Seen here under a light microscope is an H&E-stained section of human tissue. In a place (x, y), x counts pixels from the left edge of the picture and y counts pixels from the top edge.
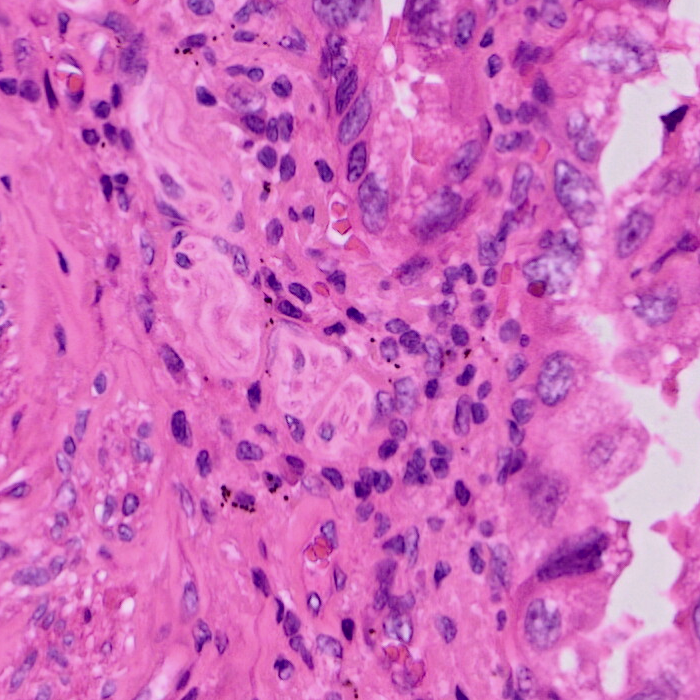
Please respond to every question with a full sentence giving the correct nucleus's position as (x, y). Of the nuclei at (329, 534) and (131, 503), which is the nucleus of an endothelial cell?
Which one belongs to an endothelial cell? The nucleus at (329, 534) does.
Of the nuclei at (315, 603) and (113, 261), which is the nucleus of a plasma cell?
The cell to which the nucleus at (113, 261) belongs is a plasma cell.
